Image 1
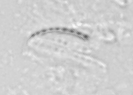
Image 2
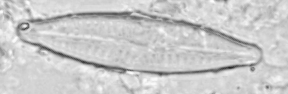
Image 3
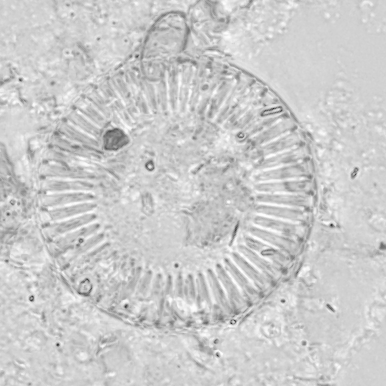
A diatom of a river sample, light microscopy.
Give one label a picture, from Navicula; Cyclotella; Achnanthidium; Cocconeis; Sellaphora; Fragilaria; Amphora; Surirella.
(1) Amphora
(2) Navicula
(3) Cyclotella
